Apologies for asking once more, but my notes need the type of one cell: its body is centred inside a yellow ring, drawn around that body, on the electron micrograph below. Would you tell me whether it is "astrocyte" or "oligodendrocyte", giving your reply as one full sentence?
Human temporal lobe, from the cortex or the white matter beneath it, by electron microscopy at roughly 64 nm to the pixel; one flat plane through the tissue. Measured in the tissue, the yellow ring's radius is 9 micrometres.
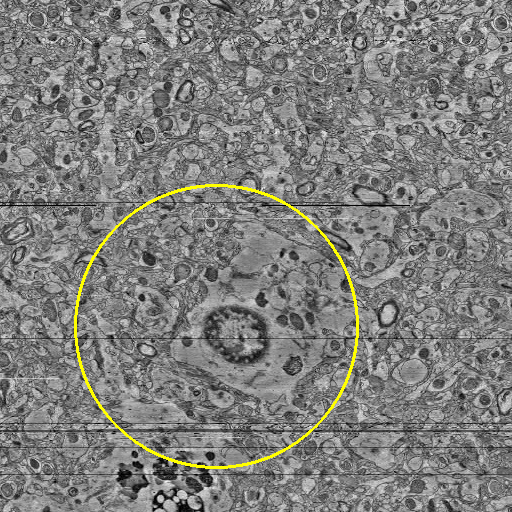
The cell that the yellow ring is centred on is an astrocyte in this micrograph.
